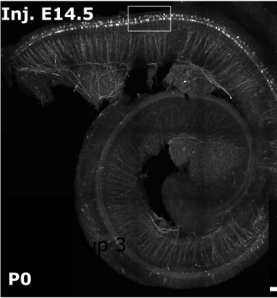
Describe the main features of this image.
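This is a whole-mount cochlea laid out as a flat spiral in grey and white on a black background. The tissue coils inward through more than one turn toward a central region. Along the outer edge of the upper turn runs a narrow band of bright, separate dots, each the size of a single cell, lined up in rows. Fine radial striations cross the width of the spiral from this band toward the center. The bright dots are dense in the upper turn and become sparse and faint farther along the coil.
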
